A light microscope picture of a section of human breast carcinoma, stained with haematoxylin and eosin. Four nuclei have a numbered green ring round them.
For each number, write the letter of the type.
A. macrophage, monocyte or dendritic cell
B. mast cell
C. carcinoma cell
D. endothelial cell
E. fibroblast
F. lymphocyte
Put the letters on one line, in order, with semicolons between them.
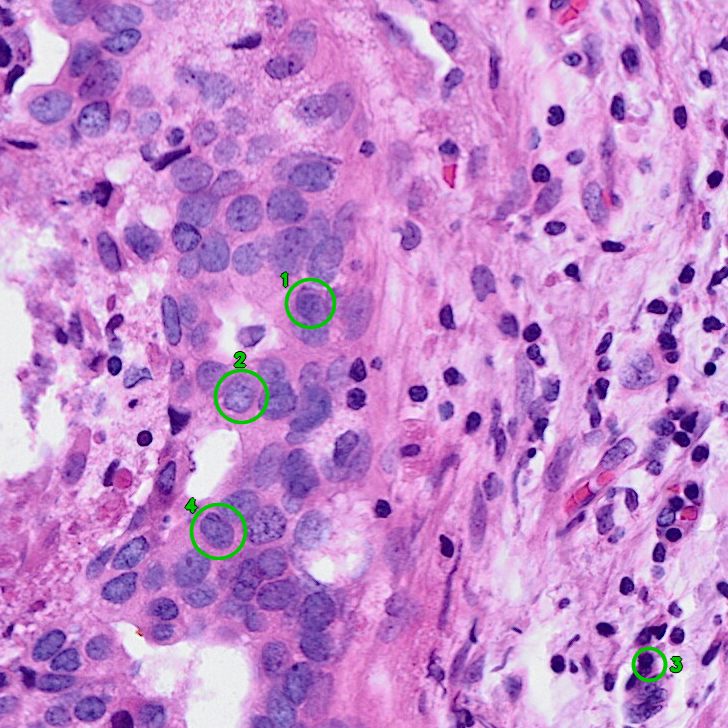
C; C; F; C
